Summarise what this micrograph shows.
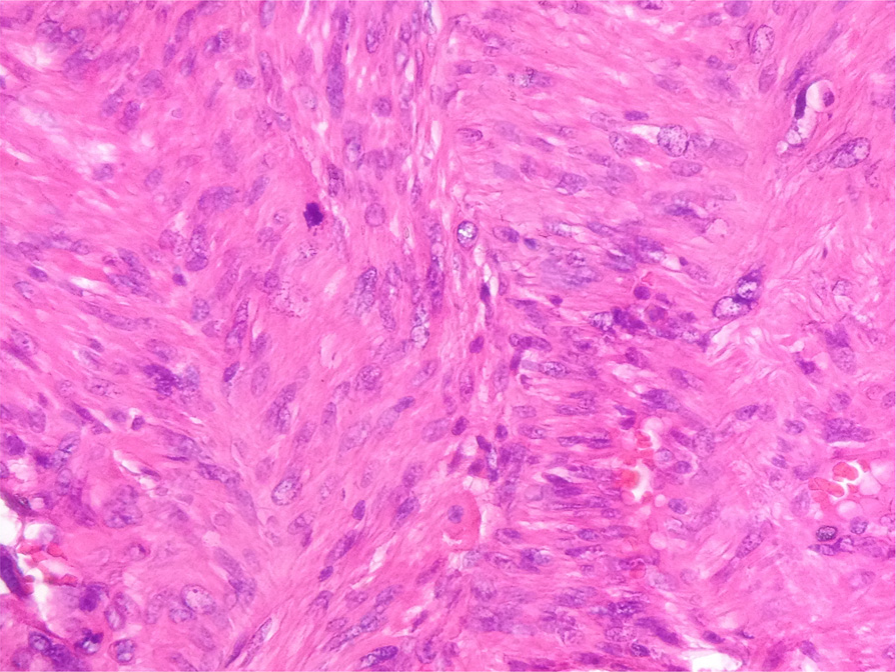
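This is a tumor composed of spindle-shaped tumor cells arranged in intersecting fascicles and streams. The cells have abundant pink, fibrillary cytoplasm with indistinct cell borders. A single dark, condensed chromatin clump in the upper middle of the field is consistent with a mitotic figure. Small vessels containing red blood cells lie between the fascicles.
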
